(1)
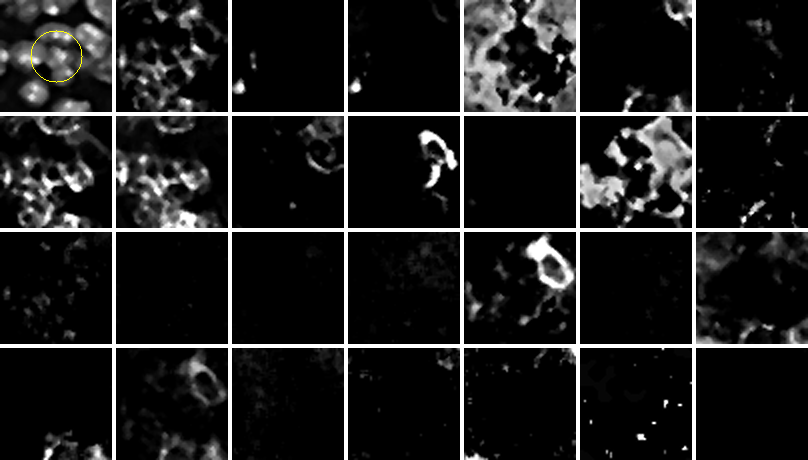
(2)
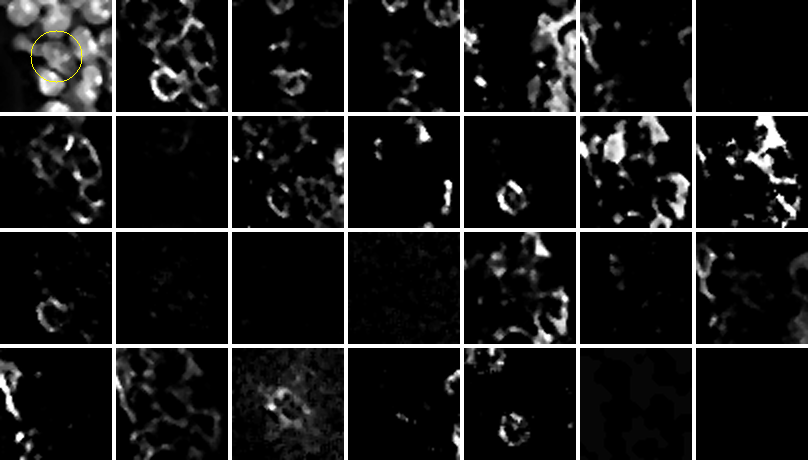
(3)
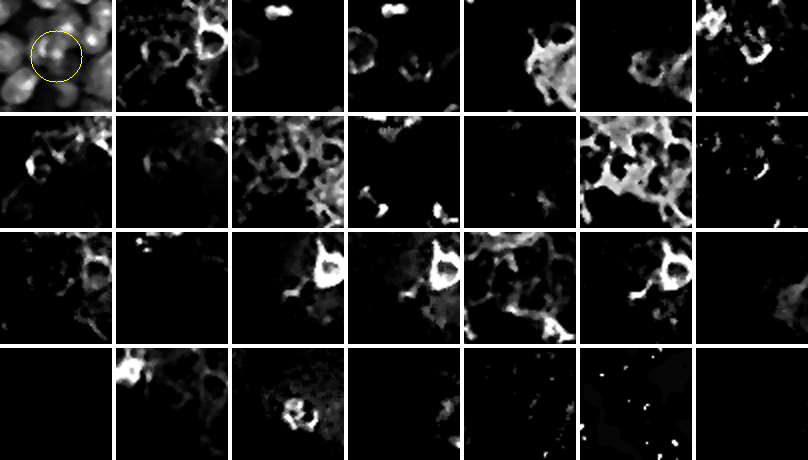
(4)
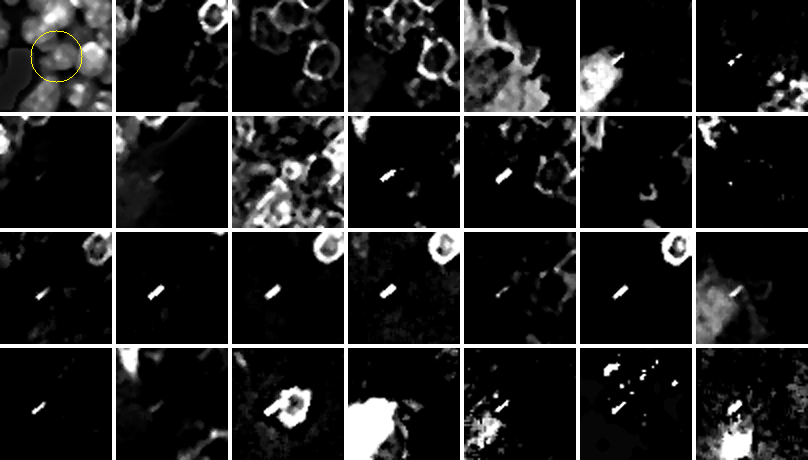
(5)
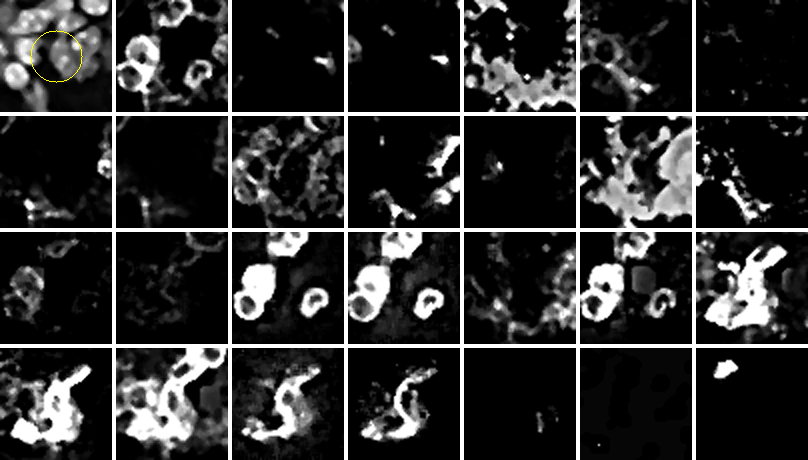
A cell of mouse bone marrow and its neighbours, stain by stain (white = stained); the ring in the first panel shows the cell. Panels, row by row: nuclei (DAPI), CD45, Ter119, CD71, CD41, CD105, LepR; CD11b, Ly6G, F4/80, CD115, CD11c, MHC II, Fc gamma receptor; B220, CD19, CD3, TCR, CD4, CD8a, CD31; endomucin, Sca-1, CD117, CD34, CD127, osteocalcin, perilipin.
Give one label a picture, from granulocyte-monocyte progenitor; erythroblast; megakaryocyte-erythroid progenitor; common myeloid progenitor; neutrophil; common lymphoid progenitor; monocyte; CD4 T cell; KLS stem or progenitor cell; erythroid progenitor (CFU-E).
Picture 1: neutrophil
Picture 2: granulocyte-monocyte progenitor
Picture 3: granulocyte-monocyte progenitor
Picture 4: common myeloid progenitor
Picture 5: KLS stem or progenitor cell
